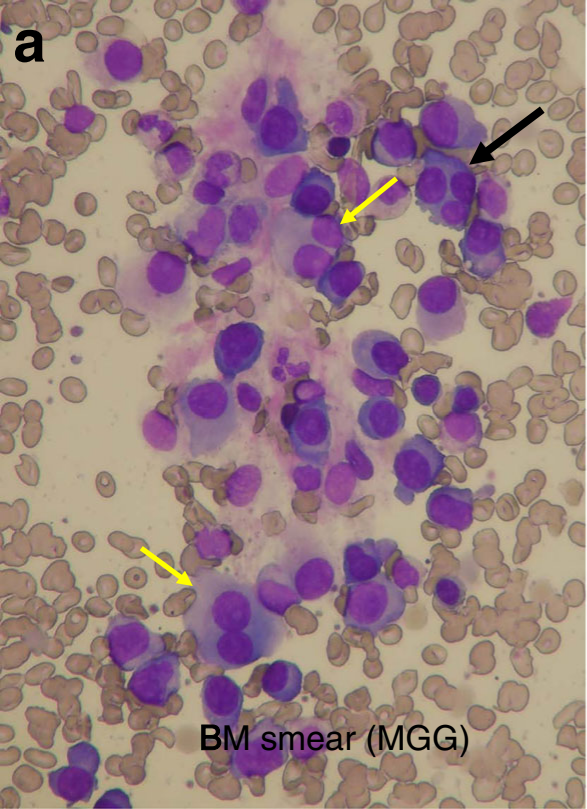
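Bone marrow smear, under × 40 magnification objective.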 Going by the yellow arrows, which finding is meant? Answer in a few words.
Binuclear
